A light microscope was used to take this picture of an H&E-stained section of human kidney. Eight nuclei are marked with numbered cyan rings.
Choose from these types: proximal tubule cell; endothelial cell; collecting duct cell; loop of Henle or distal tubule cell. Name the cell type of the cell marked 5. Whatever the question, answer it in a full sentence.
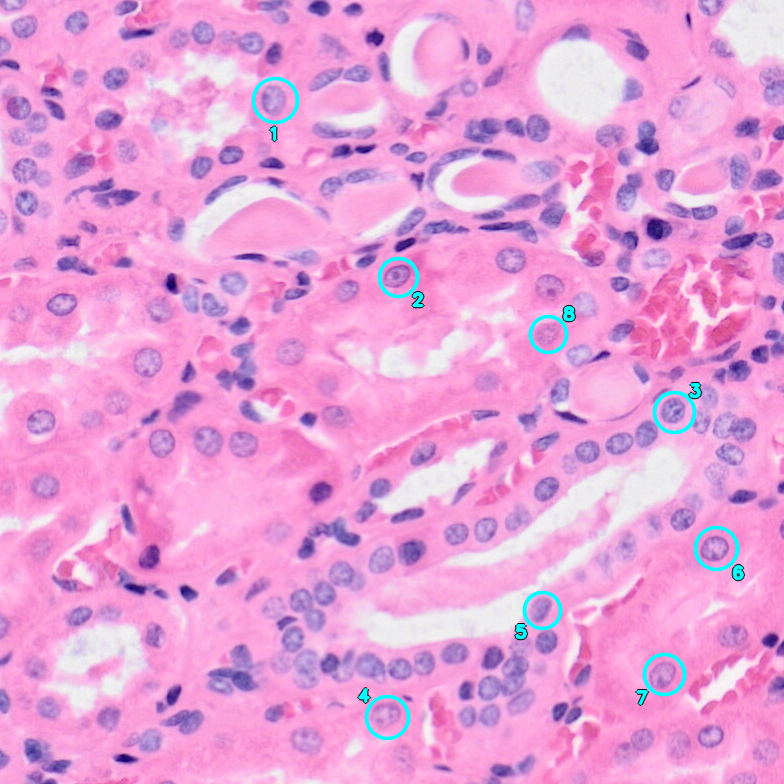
The cell identified by number 5 is a collecting duct cell.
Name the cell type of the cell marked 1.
Number 1 is placed on a loop of Henle or distal tubule cell here.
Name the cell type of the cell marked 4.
The numbered cell 4 is identified here as a proximal tubule cell.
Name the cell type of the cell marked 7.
The numbered cell 7 in this field is a proximal tubule cell.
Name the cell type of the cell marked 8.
Marked with the number 8, this cell is a proximal tubule cell.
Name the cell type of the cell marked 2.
The marked cell bearing number 2 is a proximal tubule cell.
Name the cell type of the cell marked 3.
The cell bearing label 3 corresponds to a collecting duct cell.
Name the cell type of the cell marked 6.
In the tissue shown, cell 6 is a proximal tubule cell.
